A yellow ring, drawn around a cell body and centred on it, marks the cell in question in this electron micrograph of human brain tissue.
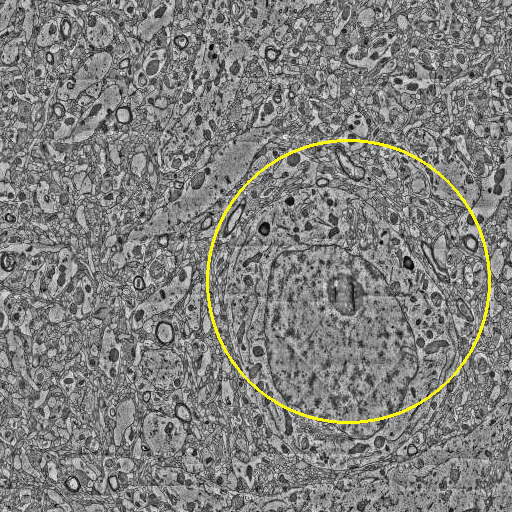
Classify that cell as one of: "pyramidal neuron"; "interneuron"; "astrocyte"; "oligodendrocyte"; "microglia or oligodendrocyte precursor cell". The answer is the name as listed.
interneuron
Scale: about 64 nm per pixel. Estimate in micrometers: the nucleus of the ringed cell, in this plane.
The nucleus works out at approximately 13 by 9 micrometres in this plane.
